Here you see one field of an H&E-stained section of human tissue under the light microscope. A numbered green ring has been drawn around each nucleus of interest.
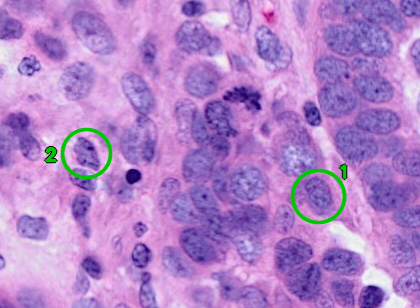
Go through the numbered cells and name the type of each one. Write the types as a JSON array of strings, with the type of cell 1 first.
["carcinoma cell", "macrophage or monocyte"]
